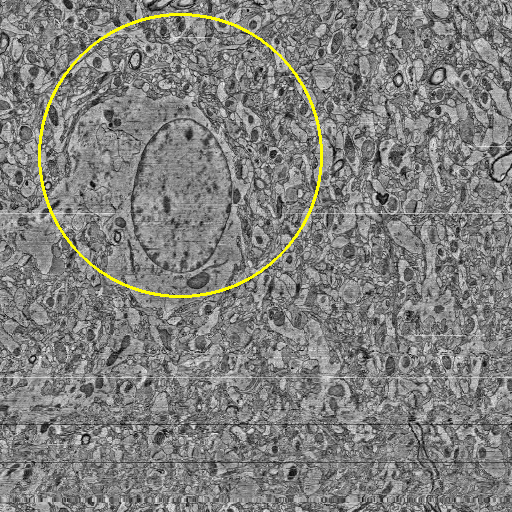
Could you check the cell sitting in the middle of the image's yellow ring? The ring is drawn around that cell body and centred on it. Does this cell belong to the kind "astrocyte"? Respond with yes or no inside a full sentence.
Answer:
Yes, this cell in the middle of the yellow ring is one of that kind.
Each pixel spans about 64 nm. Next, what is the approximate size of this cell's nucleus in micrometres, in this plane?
In this plane the nucleus is clearly longer than it is wide, at approximately 10 by 7 micrometres.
